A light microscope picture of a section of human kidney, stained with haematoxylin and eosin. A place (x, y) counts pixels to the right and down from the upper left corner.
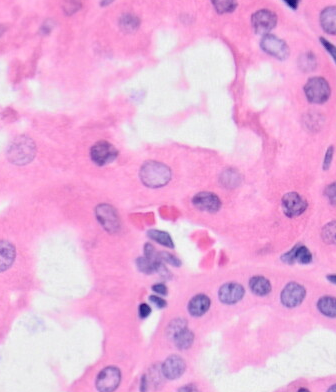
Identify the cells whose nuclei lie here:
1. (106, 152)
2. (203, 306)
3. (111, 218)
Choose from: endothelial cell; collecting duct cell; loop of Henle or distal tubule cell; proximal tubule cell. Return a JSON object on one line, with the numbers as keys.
{"1": "proximal tubule cell", "2": "collecting duct cell", "3": "proximal tubule cell"}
